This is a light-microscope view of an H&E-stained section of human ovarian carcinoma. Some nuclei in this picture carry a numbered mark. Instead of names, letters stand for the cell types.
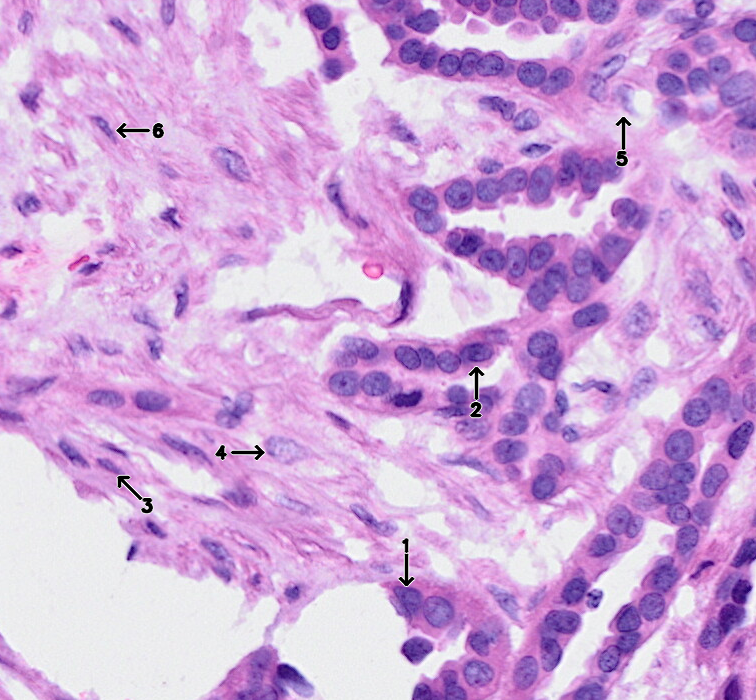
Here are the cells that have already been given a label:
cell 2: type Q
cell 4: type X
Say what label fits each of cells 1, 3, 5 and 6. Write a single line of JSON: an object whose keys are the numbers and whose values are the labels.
{"1": "type Q", "3": "type X", "5": "type X", "6": "type X"}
